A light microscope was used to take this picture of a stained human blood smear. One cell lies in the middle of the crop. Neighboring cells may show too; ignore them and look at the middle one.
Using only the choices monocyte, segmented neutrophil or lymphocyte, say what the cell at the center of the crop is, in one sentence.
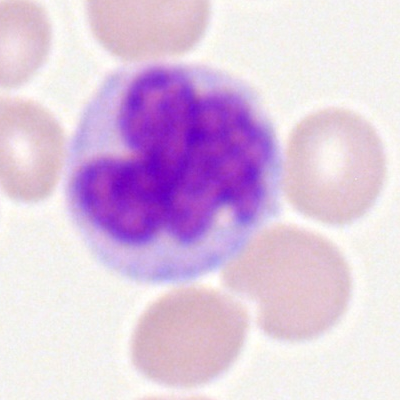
Framed in the middle of the crop is a monocyte.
